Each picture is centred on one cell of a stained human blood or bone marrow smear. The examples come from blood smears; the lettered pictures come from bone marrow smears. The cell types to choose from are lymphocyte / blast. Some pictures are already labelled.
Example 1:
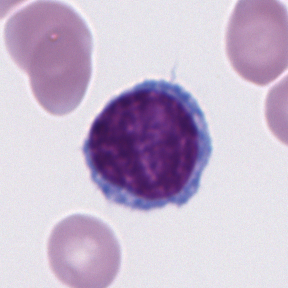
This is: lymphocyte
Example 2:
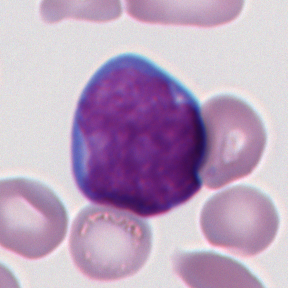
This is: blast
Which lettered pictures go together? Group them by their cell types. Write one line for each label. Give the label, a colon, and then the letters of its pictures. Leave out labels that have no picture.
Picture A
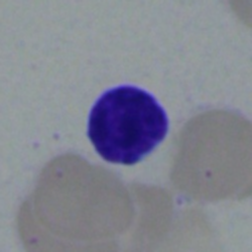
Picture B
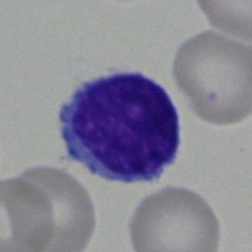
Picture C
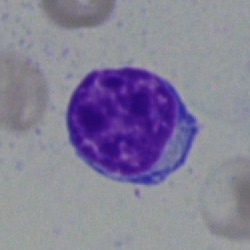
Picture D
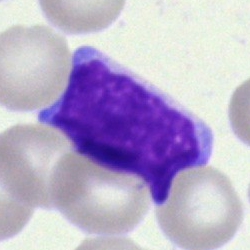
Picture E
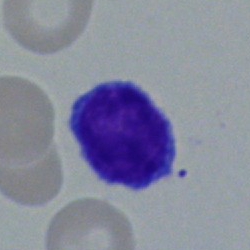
lymphocyte: A, B, C, E
blast: D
